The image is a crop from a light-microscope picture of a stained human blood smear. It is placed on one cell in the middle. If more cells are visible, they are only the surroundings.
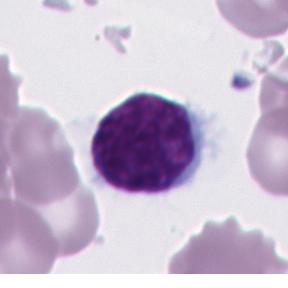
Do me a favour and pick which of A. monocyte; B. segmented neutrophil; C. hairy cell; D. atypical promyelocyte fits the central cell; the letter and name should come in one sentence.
The correct choice is option C, which identifies the middle cell as a hairy cell.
